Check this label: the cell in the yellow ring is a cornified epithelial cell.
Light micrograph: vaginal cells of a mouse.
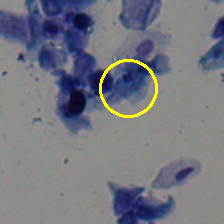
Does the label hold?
The label holds; the cell is a cornified epithelial cell.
